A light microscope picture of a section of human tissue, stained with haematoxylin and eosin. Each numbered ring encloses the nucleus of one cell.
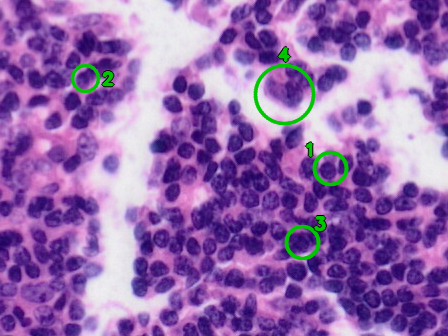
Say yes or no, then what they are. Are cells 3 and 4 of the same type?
No, cell 3 is a small lymphocyte and cell 4 is a proliferating B cell.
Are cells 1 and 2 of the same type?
Yes, both are small lymphocytes.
